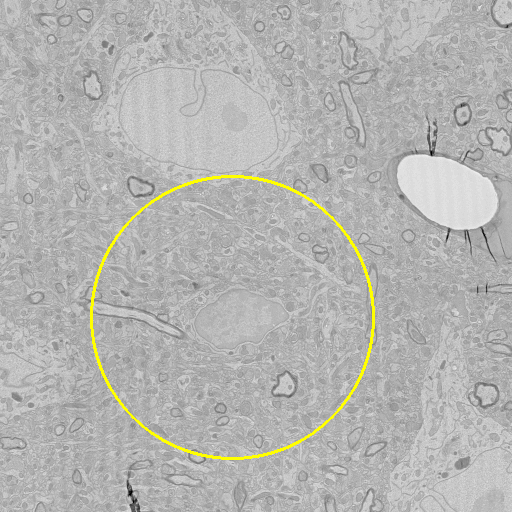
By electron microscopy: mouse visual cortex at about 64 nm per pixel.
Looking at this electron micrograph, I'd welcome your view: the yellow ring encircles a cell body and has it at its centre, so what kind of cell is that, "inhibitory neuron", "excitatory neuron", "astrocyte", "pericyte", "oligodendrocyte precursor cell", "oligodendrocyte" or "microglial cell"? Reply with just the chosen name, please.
microglial cell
